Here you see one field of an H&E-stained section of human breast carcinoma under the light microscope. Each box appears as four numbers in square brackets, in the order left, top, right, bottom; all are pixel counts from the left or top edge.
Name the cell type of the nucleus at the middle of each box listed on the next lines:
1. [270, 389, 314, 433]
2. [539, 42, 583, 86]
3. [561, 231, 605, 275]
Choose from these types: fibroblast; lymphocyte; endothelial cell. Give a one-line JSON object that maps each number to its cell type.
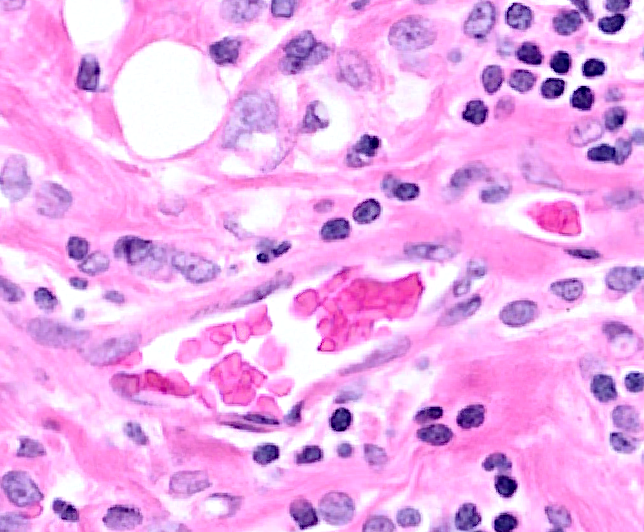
{"1": "endothelial cell", "2": "lymphocyte", "3": "endothelial cell"}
